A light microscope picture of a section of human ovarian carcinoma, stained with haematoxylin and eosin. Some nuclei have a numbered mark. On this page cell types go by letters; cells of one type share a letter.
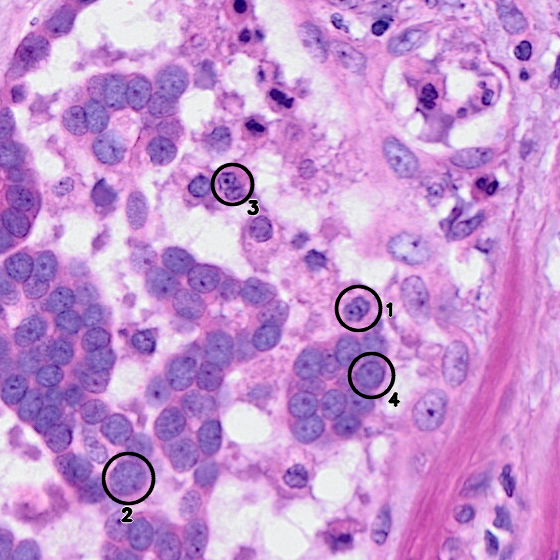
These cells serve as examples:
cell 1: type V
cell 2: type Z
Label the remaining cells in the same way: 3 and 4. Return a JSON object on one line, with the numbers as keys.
{"3": "type V", "4": "type Z"}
